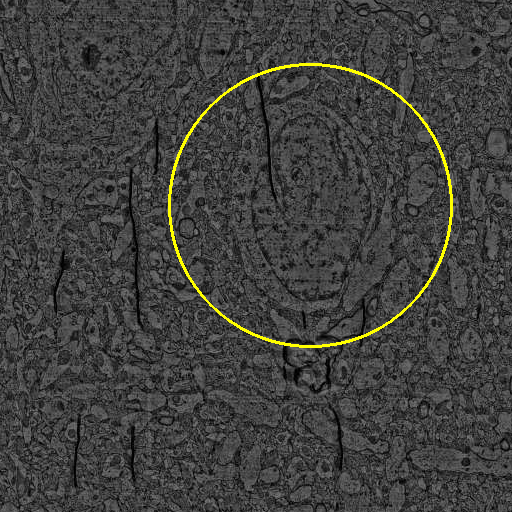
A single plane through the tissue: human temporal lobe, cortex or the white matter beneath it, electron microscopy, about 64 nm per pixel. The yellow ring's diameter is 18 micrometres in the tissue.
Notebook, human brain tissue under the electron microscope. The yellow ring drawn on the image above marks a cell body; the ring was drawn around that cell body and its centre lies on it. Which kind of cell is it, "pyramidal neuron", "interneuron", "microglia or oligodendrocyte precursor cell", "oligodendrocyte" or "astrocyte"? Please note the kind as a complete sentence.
The marked cell body is that of an interneuron.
